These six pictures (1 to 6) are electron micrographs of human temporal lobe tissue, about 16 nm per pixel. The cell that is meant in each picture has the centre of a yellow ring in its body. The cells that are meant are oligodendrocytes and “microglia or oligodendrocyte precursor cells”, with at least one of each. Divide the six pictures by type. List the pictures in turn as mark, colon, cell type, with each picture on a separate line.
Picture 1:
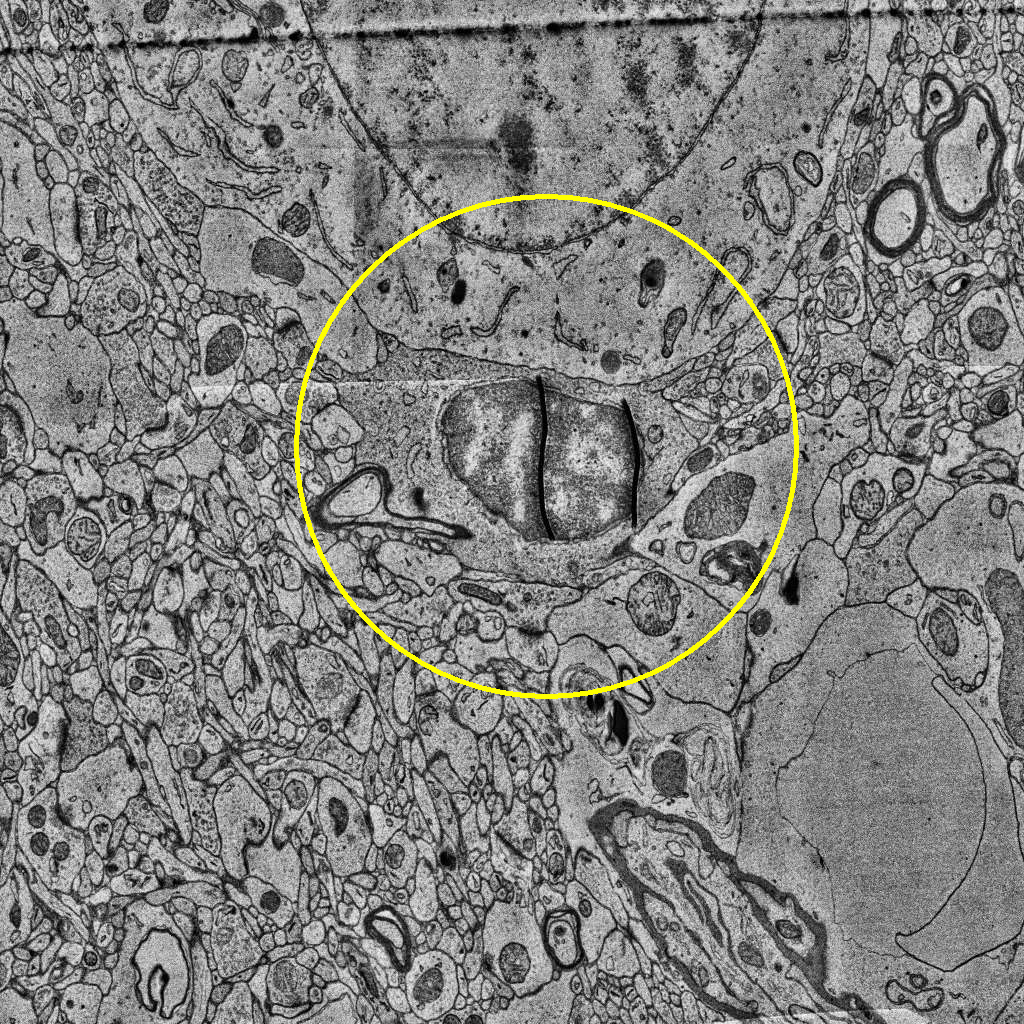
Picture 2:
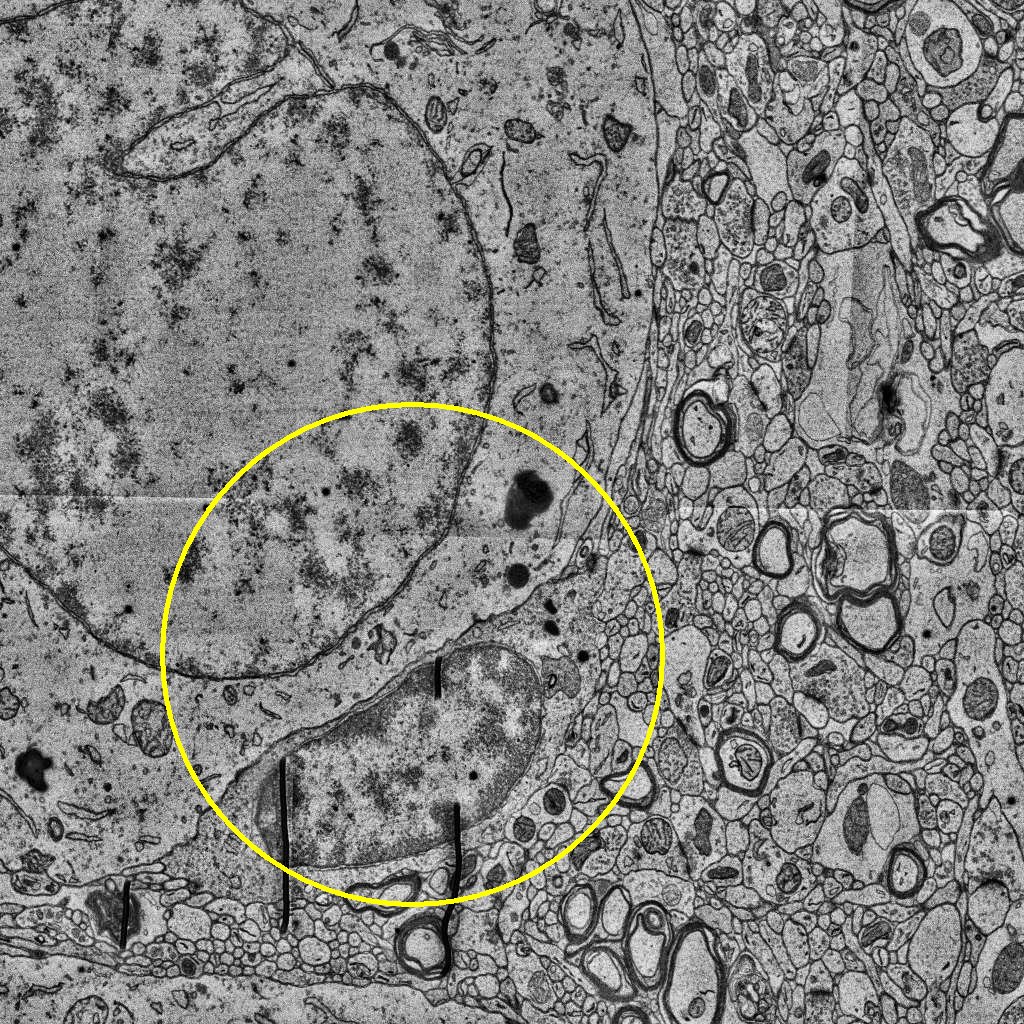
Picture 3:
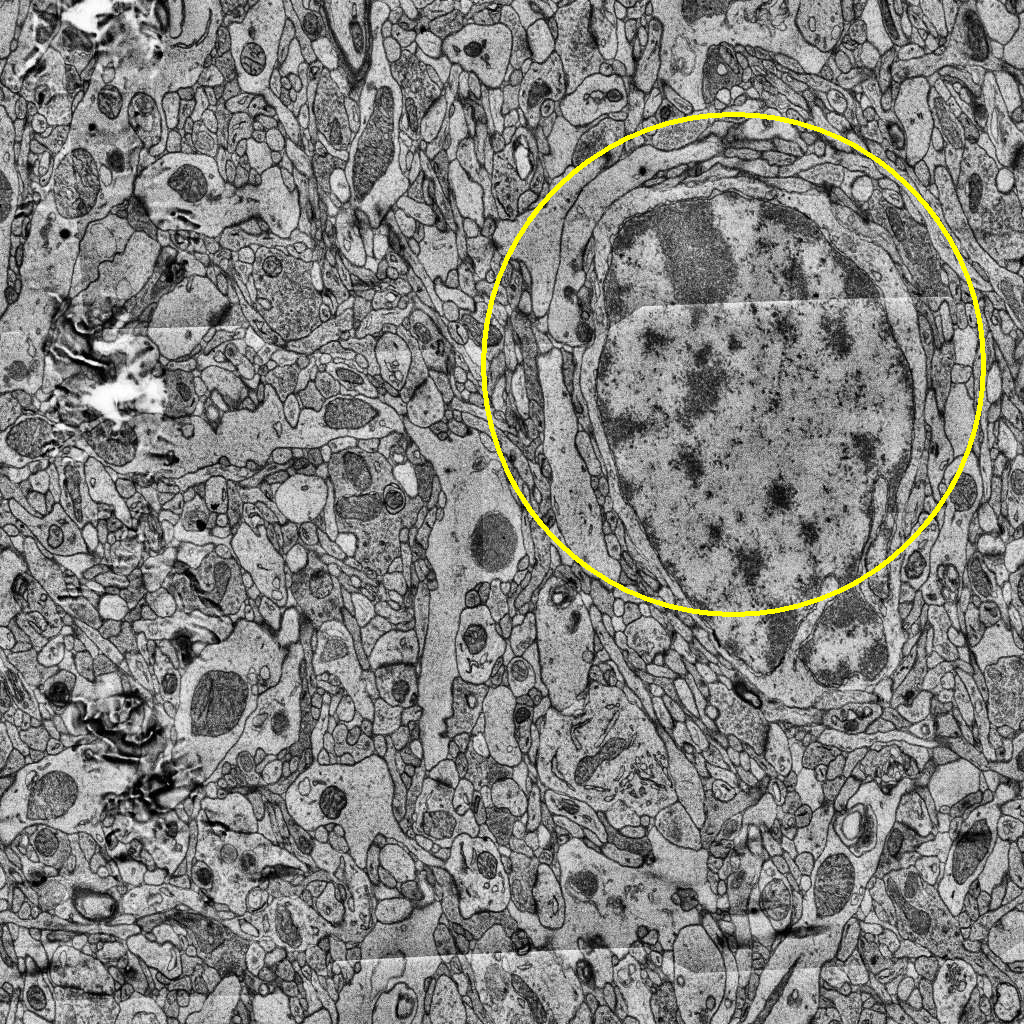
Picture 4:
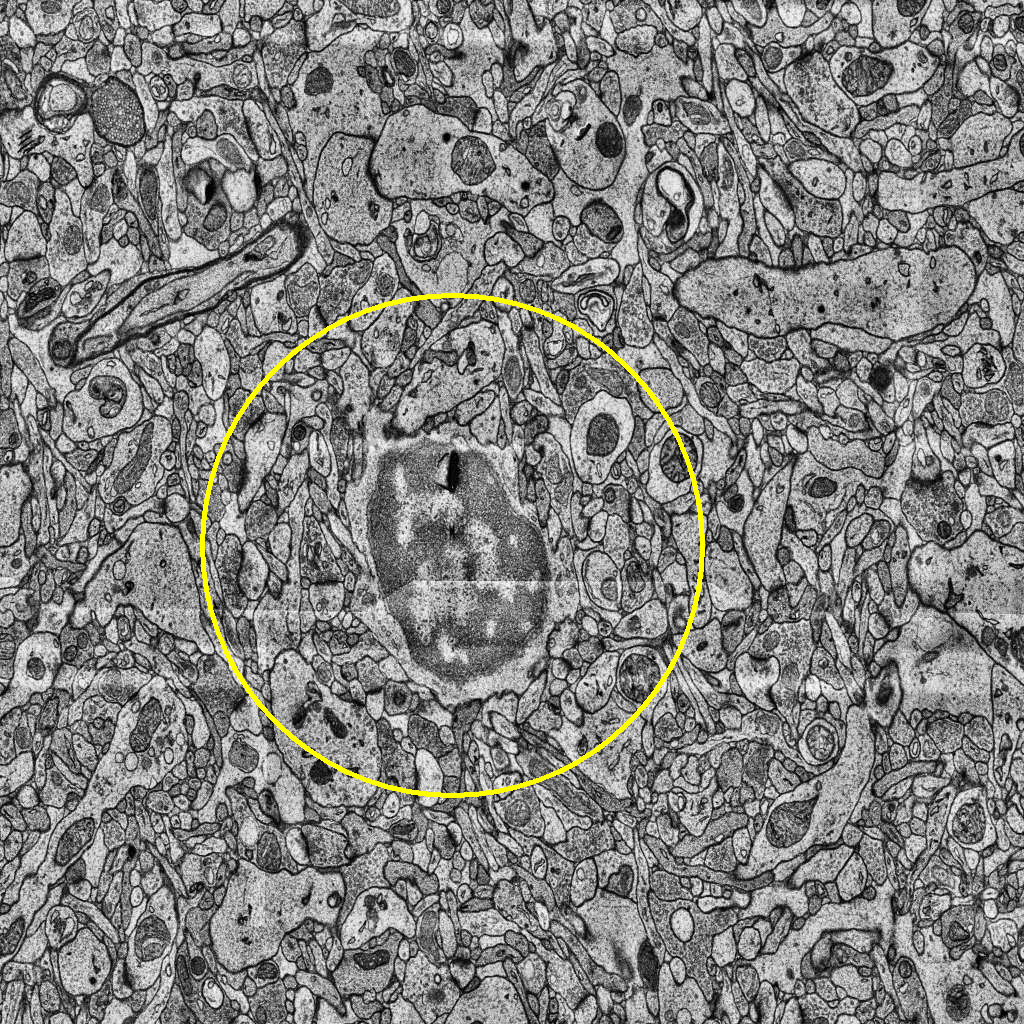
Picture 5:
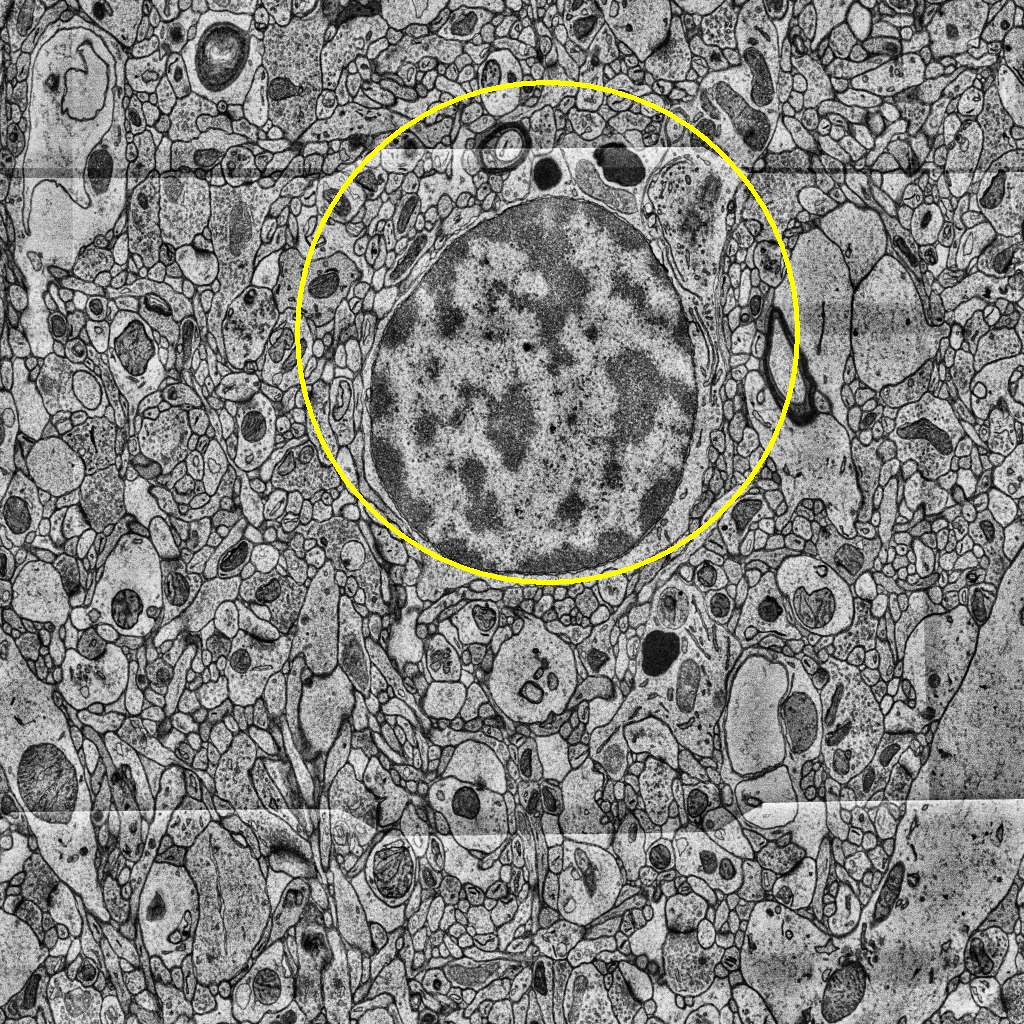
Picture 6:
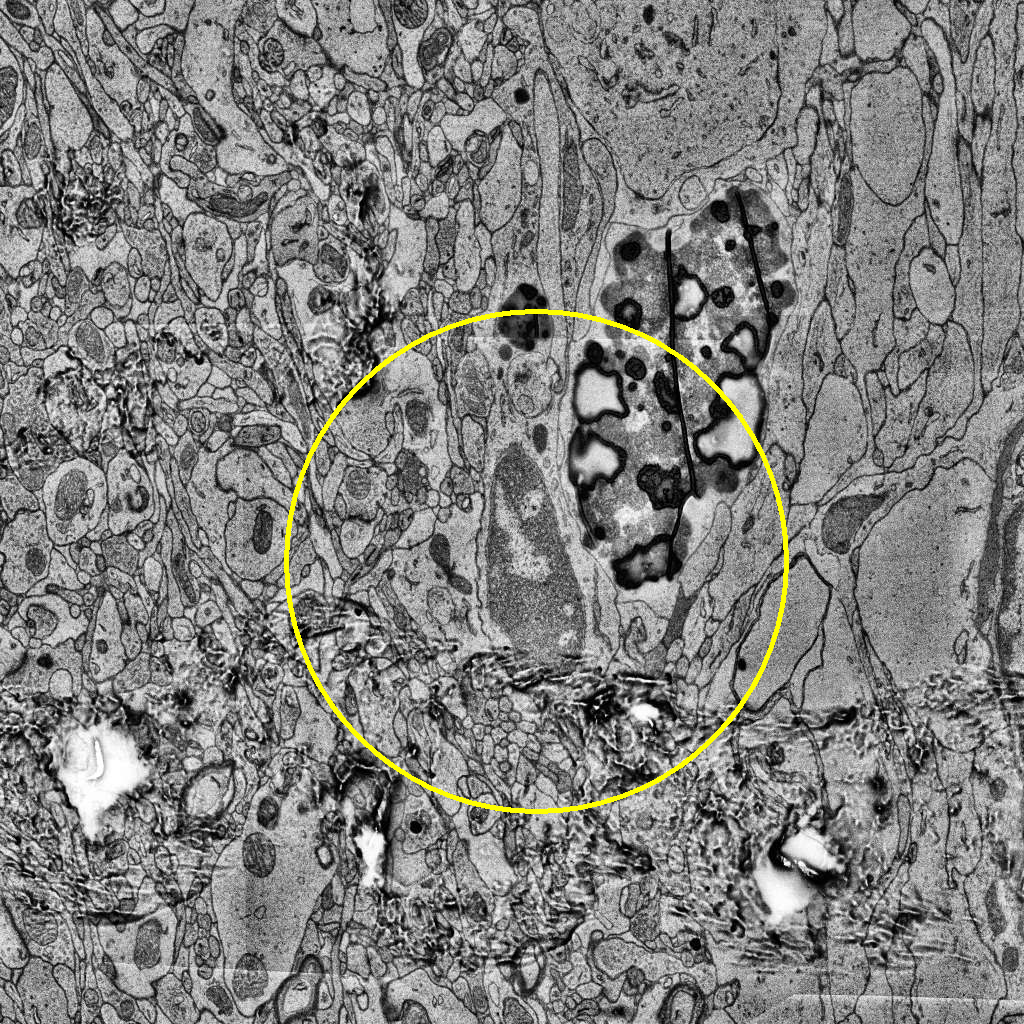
1: oligodendrocyte
2: oligodendrocyte
3: microglia or oligodendrocyte precursor cell
4: microglia or oligodendrocyte precursor cell
5: microglia or oligodendrocyte precursor cell
6: microglia or oligodendrocyte precursor cell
